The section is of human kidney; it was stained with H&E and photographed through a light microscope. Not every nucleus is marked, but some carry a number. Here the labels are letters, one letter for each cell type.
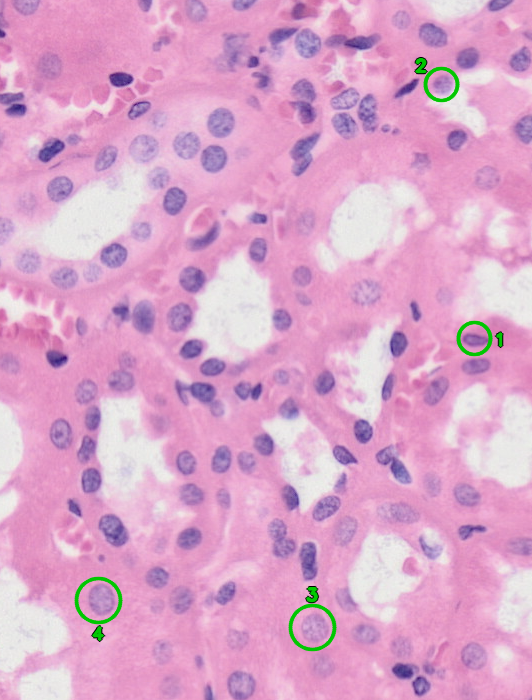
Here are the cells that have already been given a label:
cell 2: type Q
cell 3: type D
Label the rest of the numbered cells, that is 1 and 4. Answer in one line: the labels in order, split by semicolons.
type D; type D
